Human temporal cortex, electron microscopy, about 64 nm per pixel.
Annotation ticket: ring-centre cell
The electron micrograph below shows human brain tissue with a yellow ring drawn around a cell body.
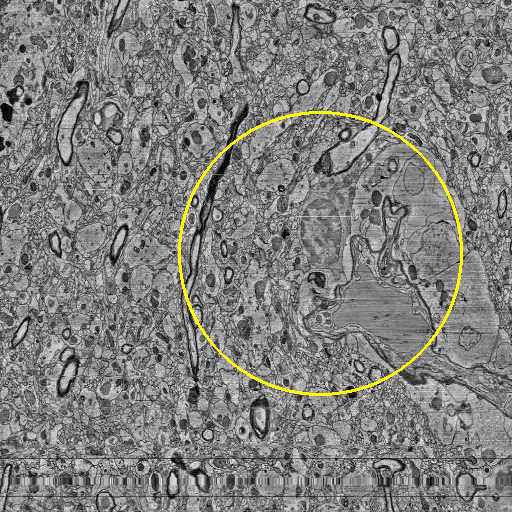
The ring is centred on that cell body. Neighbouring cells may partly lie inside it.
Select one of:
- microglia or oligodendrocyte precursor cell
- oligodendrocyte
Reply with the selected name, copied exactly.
oligodendrocyte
